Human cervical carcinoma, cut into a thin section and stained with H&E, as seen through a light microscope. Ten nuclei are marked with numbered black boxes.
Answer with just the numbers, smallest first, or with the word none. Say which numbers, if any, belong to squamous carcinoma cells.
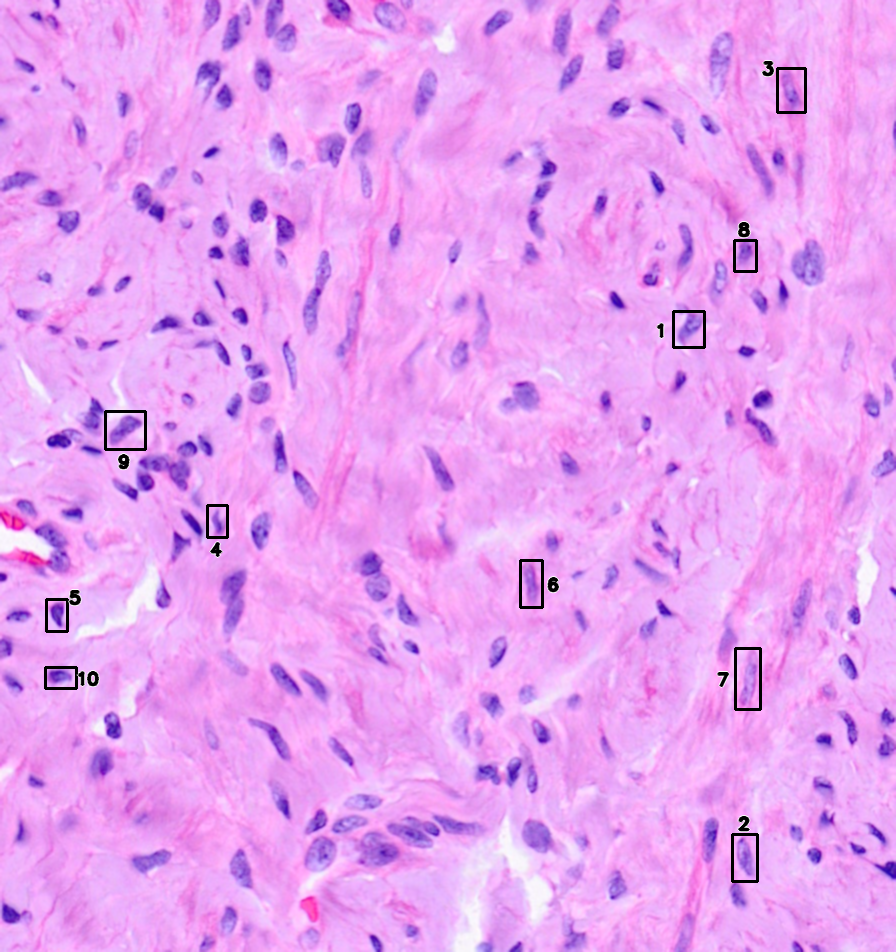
none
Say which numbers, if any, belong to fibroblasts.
1, 2, 4, 5, 9, 10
